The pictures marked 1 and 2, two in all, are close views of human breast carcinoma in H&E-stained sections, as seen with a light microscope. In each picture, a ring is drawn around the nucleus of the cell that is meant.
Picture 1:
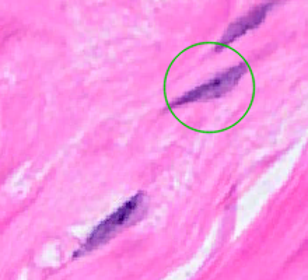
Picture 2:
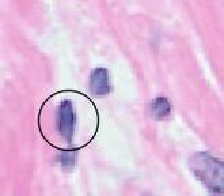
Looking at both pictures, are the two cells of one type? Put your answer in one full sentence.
No, picture 1 shows a fibroblast and picture 2 shows a lymphocyte.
